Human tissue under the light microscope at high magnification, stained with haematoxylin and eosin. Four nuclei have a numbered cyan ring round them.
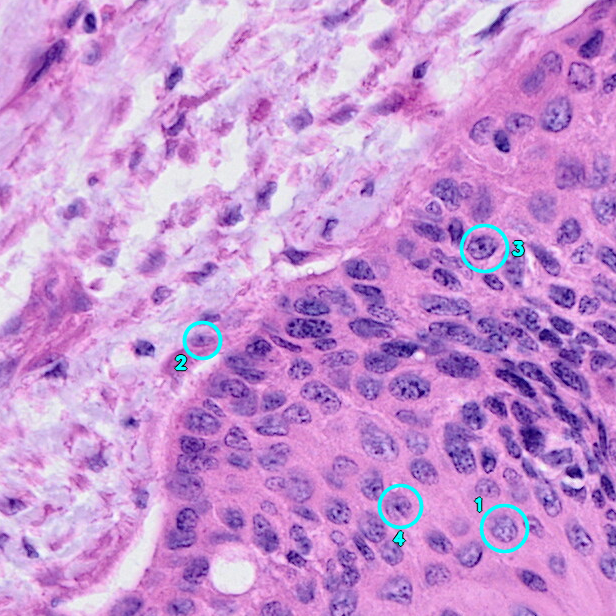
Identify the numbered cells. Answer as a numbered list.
1. squamous carcinoma cell
2. fibroblast
3. squamous carcinoma cell
4. squamous carcinoma cell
